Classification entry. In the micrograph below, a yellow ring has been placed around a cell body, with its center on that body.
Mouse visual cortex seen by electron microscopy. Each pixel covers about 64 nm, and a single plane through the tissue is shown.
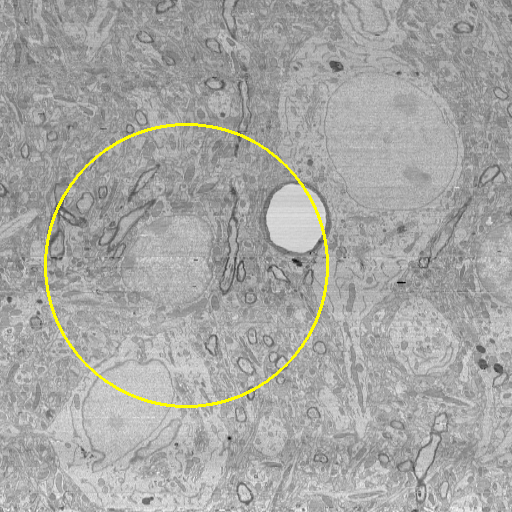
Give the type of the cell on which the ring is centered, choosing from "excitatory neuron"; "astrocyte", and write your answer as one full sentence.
The cell body at the center of the yellow ring belongs to an astrocyte.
